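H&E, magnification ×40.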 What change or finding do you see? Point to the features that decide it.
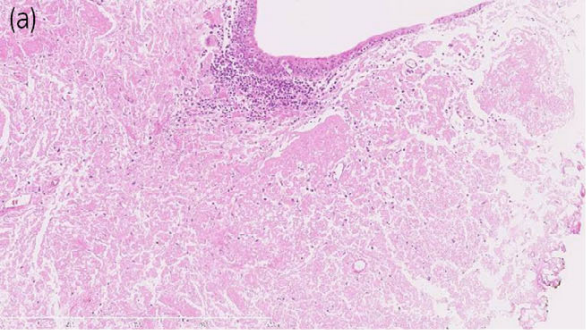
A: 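Eosinophilic amorphous deposit. Most of the field is filled by pale pink, structureless material. Few nuclei are scattered within the pink material.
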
